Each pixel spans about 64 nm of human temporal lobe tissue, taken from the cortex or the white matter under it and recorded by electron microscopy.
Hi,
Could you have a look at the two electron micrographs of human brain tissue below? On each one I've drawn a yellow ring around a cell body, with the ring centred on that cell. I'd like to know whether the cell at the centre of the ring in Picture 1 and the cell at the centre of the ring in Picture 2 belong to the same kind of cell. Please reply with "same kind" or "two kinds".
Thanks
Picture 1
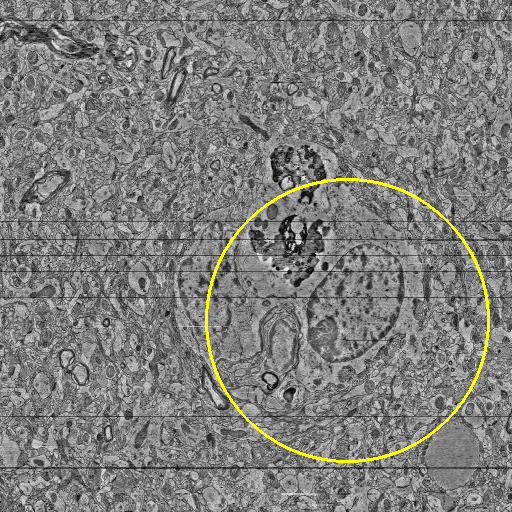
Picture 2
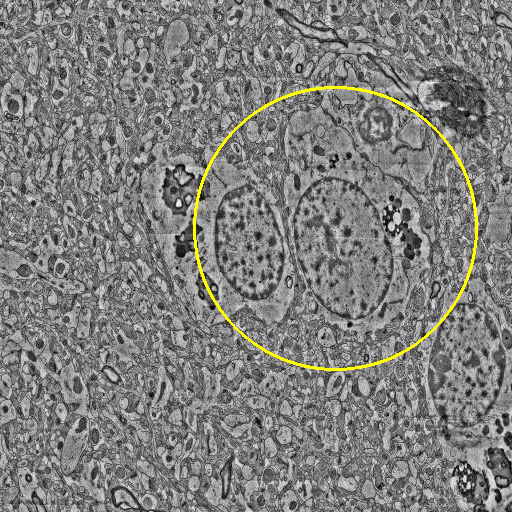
same kind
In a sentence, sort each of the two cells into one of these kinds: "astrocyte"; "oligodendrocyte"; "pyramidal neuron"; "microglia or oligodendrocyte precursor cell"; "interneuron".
Each one of the two ringed cells is an astrocyte.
